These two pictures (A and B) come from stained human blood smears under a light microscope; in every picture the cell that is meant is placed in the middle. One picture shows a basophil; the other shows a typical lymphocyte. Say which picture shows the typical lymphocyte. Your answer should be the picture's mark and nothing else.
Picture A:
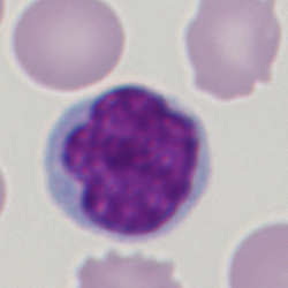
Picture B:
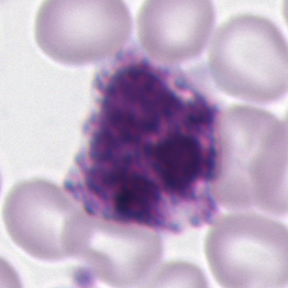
A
